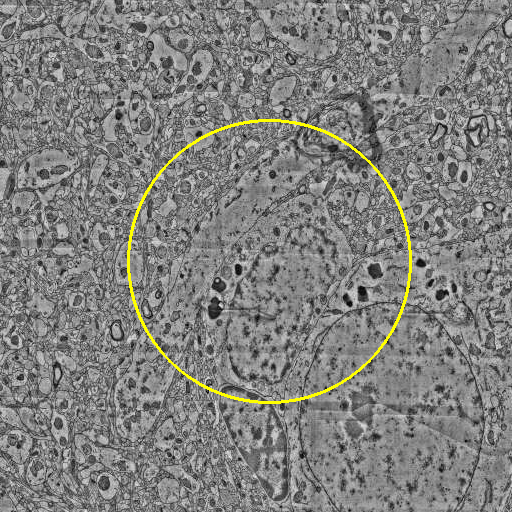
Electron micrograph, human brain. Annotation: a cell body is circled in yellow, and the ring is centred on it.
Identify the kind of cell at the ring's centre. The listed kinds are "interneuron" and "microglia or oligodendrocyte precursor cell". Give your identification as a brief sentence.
The circled cell body is that of an interneuron.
